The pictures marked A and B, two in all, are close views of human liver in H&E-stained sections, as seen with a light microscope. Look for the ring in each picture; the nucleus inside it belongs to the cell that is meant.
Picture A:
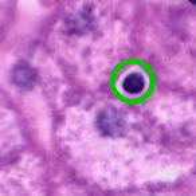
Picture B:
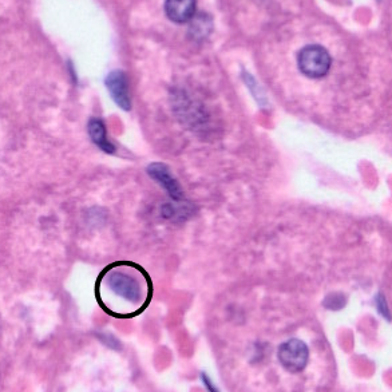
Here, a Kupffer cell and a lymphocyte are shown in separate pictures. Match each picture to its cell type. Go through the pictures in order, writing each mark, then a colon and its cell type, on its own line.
A: lymphocyte
B: Kupffer cell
